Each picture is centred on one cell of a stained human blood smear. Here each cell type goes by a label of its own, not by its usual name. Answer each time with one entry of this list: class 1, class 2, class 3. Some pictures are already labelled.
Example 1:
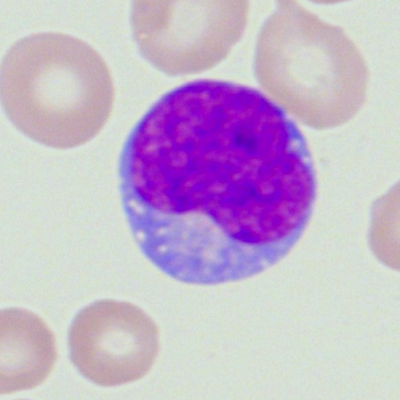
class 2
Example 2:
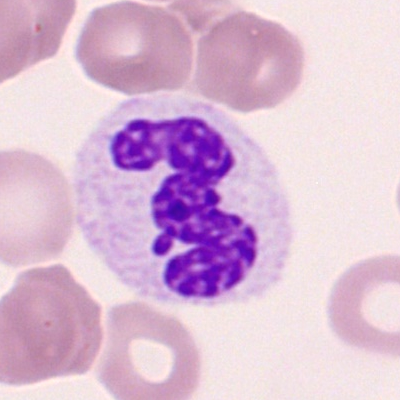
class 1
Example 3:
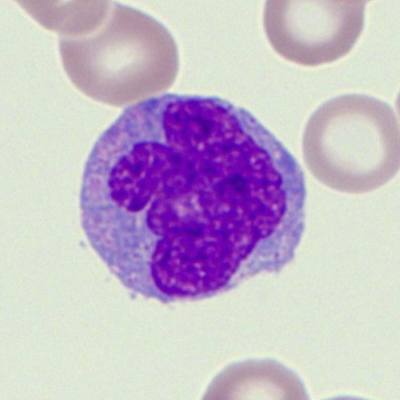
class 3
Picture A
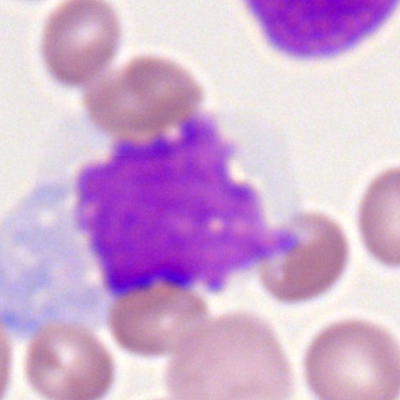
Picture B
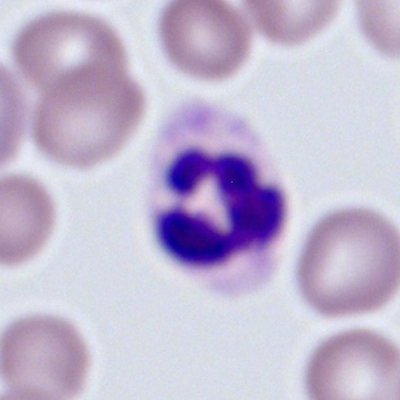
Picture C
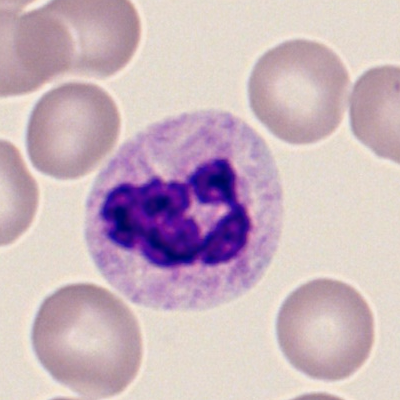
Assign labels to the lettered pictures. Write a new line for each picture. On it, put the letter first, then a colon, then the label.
A: class 3
B: class 1
C: class 1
